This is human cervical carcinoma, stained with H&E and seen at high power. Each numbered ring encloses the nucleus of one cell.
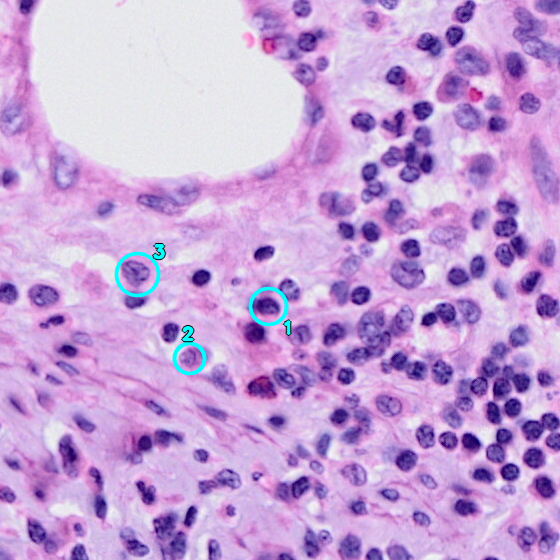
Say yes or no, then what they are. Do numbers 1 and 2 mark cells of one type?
No, cell 1 is a lymphocyte and cell 2 is a macrophage or monocyte.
